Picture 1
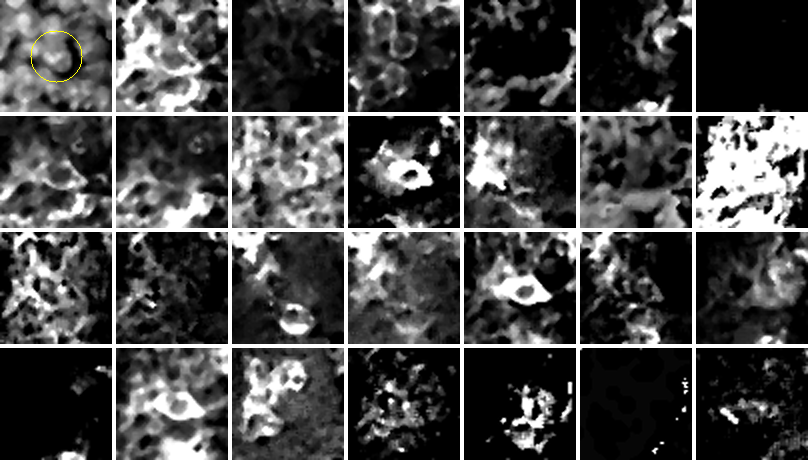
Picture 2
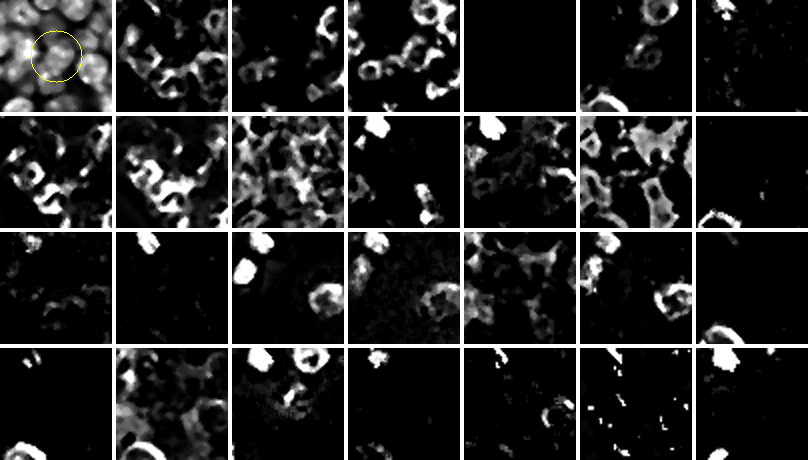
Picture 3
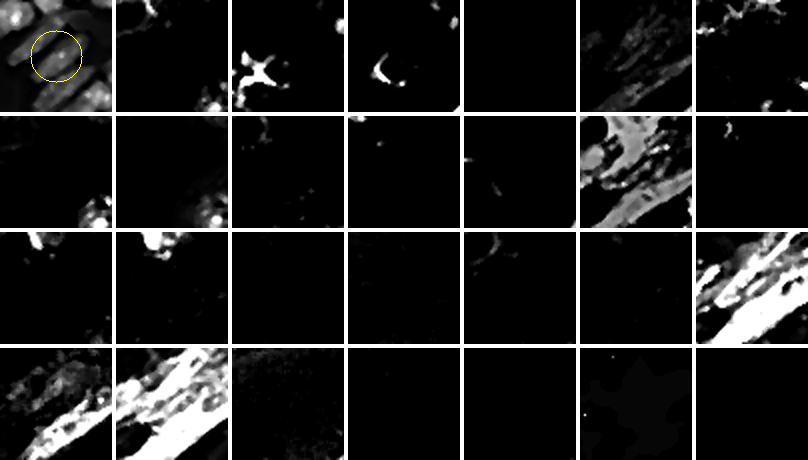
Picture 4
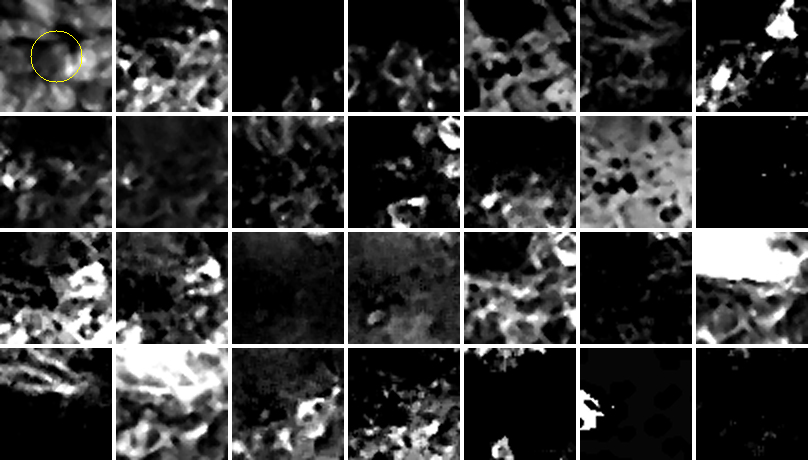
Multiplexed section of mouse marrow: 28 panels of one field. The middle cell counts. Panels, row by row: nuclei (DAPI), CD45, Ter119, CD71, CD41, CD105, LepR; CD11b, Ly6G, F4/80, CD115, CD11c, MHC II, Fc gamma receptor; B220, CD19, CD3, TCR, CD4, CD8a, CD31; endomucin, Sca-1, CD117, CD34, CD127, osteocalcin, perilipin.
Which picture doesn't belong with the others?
Picture 3.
